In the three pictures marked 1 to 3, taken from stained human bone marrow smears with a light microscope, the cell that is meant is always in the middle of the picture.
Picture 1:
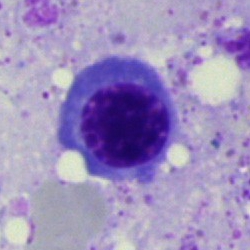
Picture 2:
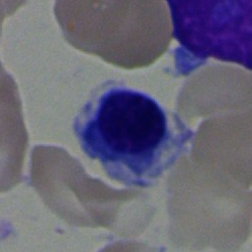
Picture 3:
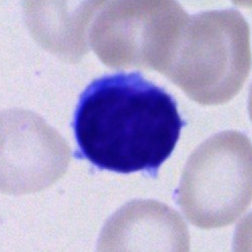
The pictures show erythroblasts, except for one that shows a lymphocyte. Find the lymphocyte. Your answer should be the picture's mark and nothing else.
3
